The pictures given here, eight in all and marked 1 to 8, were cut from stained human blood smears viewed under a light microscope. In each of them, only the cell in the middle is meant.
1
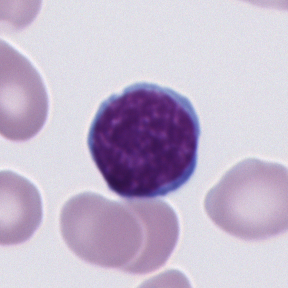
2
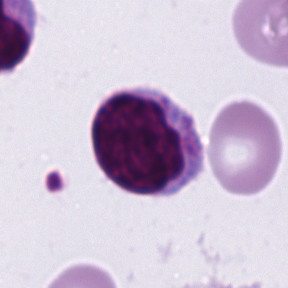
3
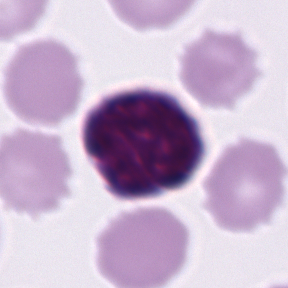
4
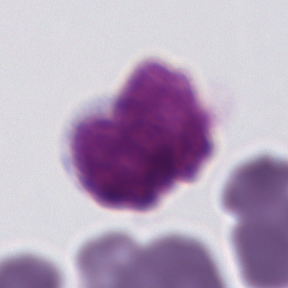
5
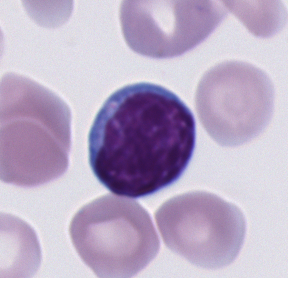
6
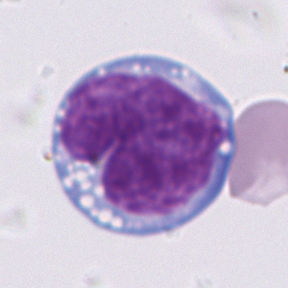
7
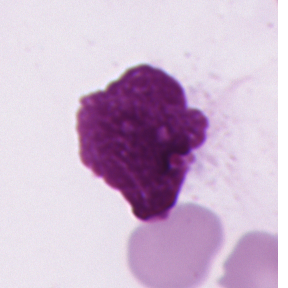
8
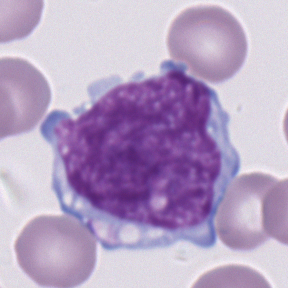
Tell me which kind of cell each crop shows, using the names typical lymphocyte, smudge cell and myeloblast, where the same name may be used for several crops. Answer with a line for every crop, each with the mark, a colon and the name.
1: typical lymphocyte
2: typical lymphocyte
3: typical lymphocyte
4: smudge cell
5: typical lymphocyte
6: myeloblast
7: smudge cell
8: myeloblast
